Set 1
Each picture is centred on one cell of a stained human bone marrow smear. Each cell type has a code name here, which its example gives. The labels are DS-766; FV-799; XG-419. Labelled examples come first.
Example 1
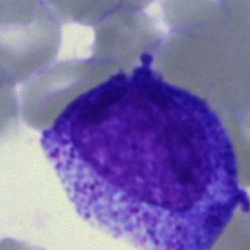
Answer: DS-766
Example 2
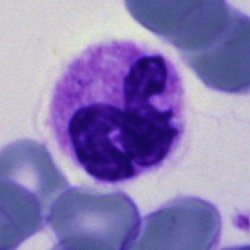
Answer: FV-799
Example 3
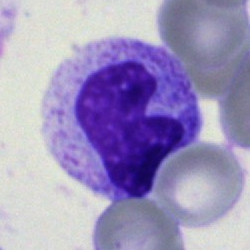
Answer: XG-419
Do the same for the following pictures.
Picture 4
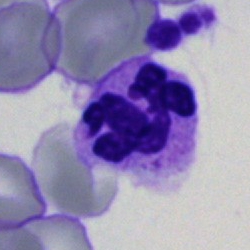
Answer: FV-799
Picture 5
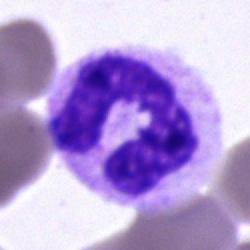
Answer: XG-419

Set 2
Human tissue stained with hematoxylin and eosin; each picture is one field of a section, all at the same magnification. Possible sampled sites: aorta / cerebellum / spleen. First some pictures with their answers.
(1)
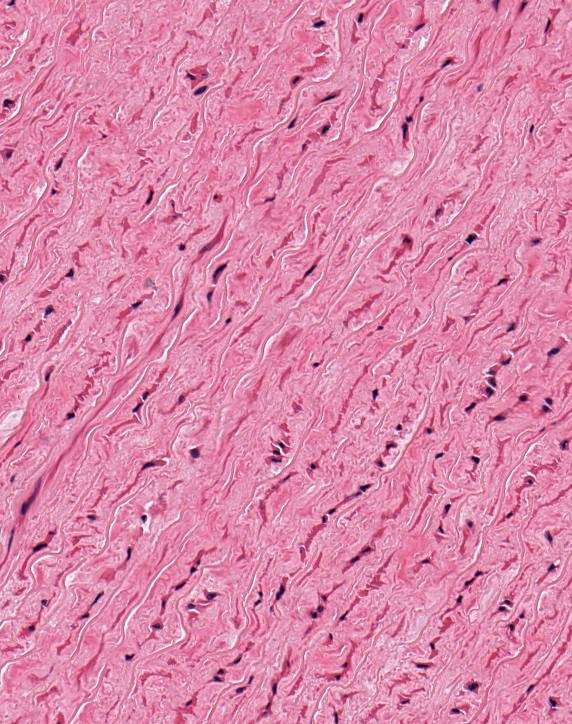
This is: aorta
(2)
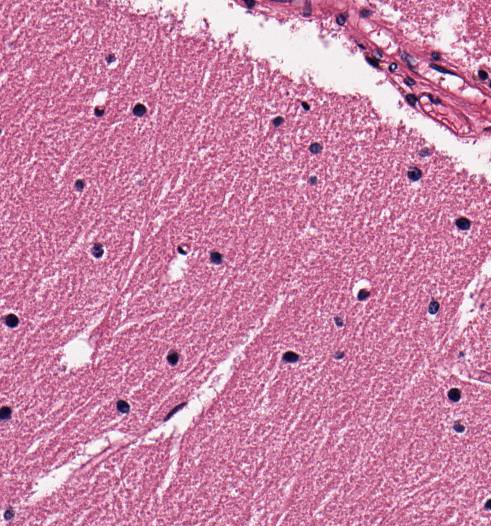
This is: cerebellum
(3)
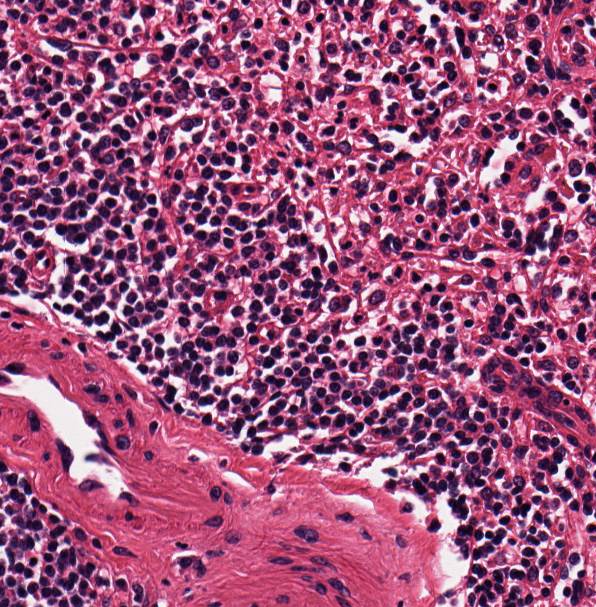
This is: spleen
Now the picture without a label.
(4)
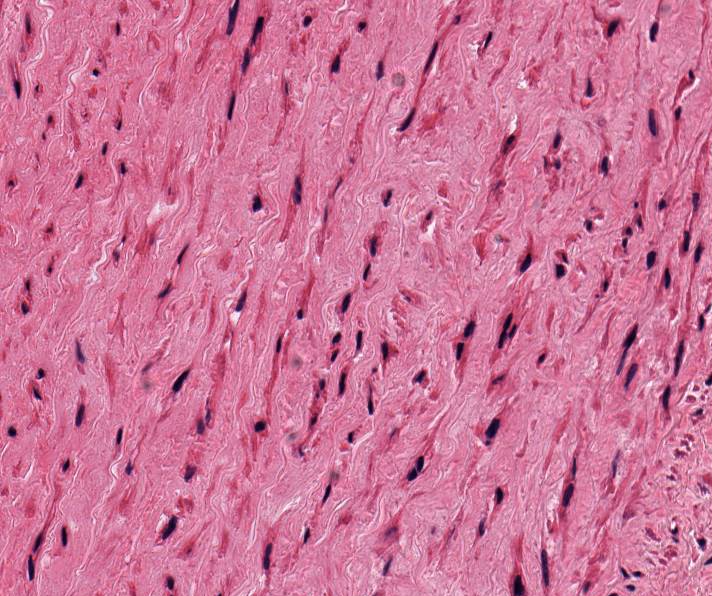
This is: aorta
